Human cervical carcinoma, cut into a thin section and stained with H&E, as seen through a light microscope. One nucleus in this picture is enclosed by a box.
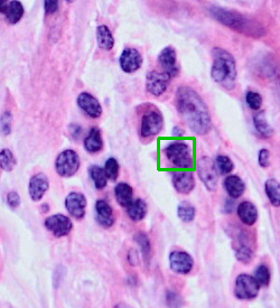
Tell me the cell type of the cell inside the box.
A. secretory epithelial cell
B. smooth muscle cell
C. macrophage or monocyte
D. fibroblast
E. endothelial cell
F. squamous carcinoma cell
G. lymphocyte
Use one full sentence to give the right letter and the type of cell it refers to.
Option G matches the cell inside the box, which is a lymphocyte.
